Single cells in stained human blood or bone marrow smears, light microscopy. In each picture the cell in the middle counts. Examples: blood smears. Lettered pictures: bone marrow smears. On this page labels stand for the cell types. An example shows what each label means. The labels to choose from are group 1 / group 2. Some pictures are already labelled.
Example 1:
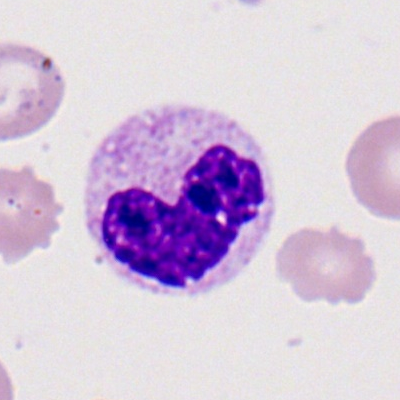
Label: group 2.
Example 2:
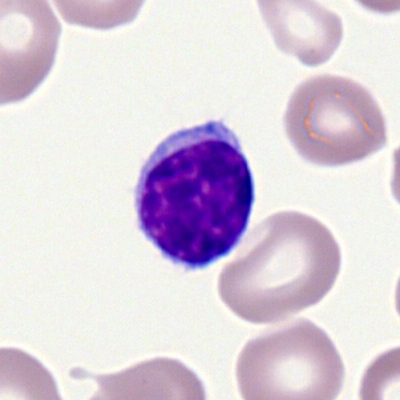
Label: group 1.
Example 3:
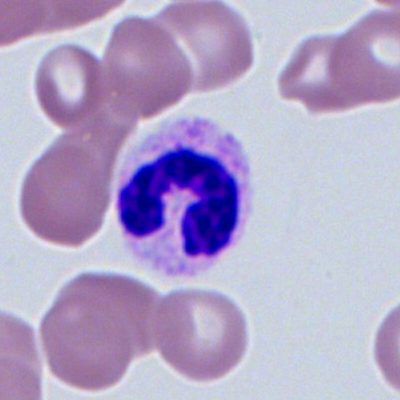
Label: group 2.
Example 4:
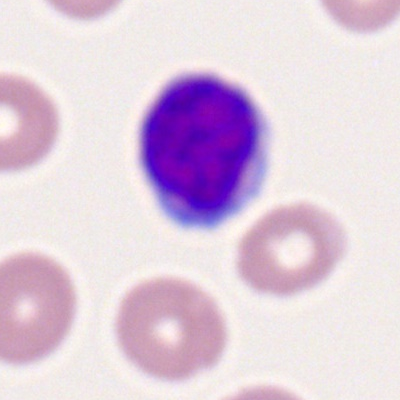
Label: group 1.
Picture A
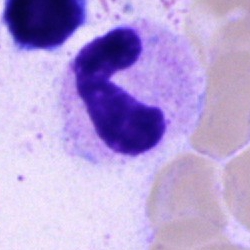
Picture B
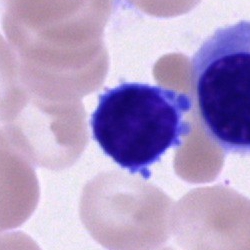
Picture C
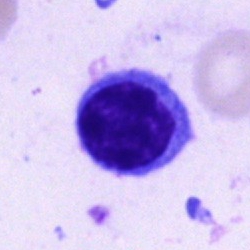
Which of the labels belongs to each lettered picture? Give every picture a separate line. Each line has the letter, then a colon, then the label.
A: group 2.
B: group 1.
C: group 1.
